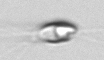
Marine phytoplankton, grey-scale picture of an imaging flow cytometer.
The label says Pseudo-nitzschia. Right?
Wrong: this is Chrysochromulina parkeae.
